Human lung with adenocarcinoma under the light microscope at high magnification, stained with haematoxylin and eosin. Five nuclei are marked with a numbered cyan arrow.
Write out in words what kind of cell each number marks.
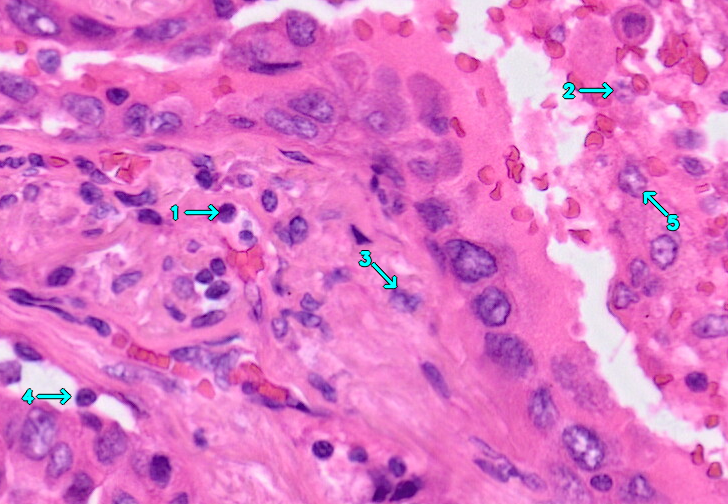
Cell 1 is a lymphocyte, cell 2 is a macrophage or monocyte, cell 3 is a fibroblast, cell 4 is a lymphocyte and cell 5 is a macrophage or monocyte.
